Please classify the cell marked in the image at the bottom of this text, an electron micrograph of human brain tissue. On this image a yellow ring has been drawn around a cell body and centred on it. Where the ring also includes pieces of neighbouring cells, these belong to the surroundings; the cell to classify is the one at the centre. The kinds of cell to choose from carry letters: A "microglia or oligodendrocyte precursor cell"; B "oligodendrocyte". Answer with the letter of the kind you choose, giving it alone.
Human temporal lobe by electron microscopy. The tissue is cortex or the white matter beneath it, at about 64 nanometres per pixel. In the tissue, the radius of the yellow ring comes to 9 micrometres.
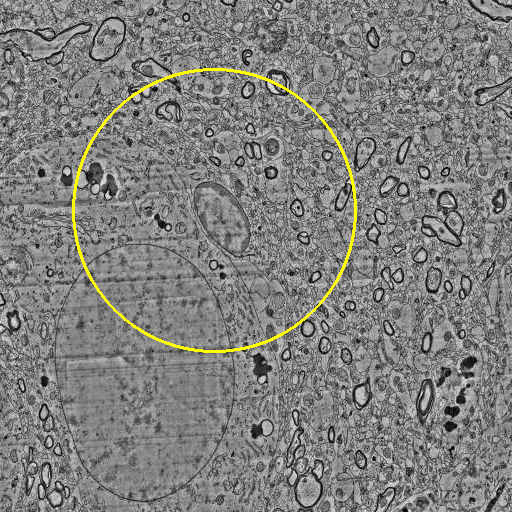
A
